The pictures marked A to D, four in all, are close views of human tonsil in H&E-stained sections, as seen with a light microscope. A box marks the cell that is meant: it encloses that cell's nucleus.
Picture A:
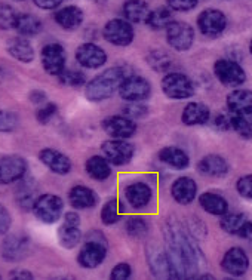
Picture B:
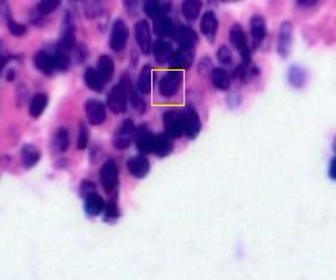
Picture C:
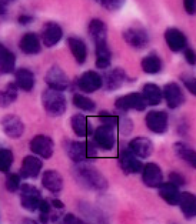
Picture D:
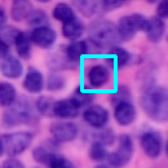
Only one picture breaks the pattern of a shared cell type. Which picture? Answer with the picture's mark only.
A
